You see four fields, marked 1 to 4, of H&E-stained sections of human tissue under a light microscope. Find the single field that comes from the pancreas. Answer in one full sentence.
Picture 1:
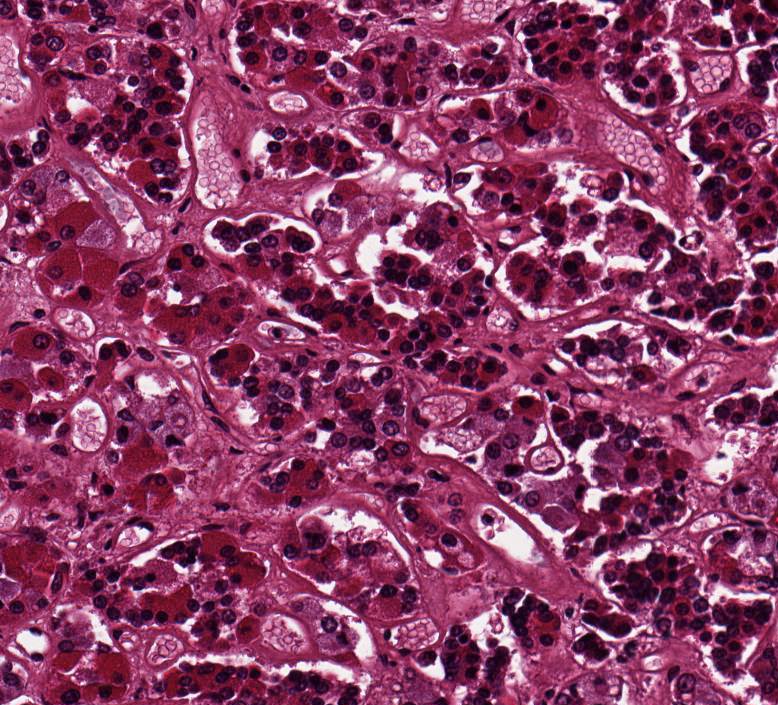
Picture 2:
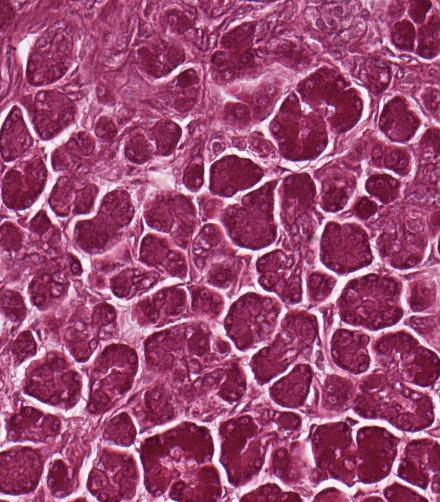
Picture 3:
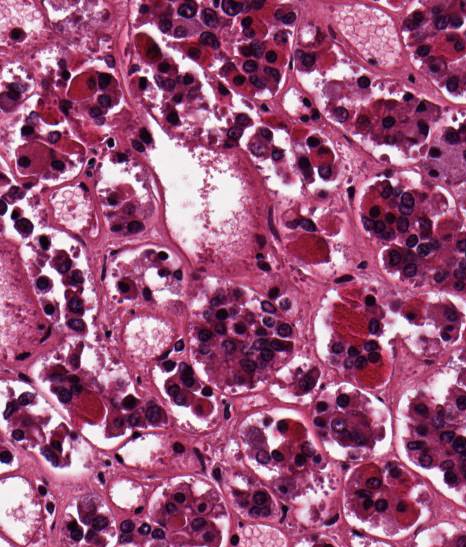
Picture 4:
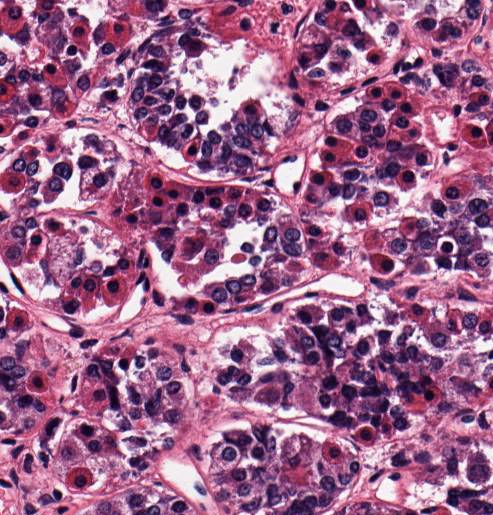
Picture 2 comes from the pancreas.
